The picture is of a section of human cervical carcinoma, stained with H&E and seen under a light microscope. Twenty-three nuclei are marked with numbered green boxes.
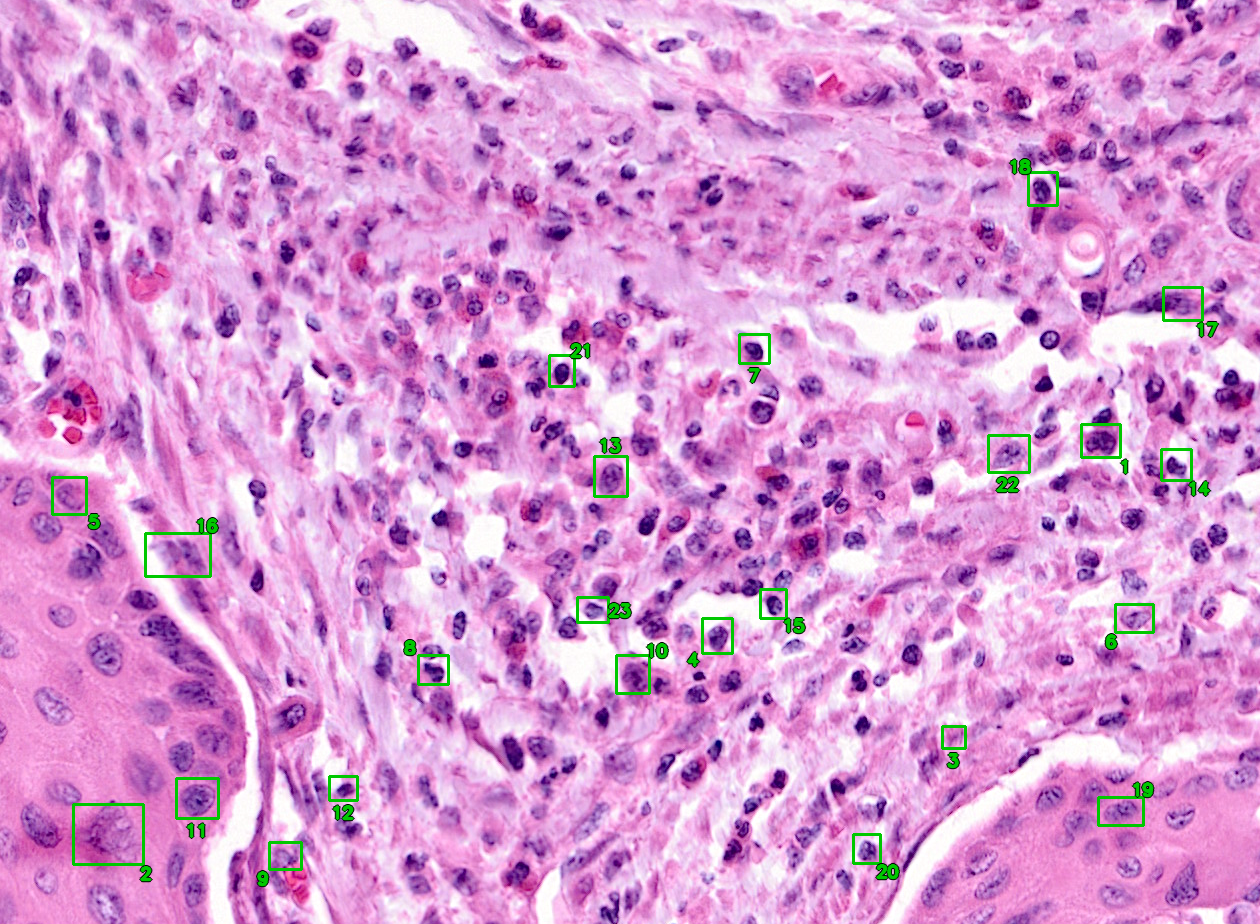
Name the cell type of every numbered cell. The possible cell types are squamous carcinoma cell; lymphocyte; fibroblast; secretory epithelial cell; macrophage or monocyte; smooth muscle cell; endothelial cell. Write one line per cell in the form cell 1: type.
cell 1: macrophage or monocyte
cell 2: squamous carcinoma cell
cell 3: fibroblast
cell 4: lymphocyte
cell 5: squamous carcinoma cell
cell 6: macrophage or monocyte
cell 7: lymphocyte
cell 8: lymphocyte
cell 9: endothelial cell
cell 10: macrophage or monocyte
cell 11: squamous carcinoma cell
cell 12: lymphocyte
cell 13: macrophage or monocyte
cell 14: lymphocyte
cell 15: lymphocyte
cell 16: fibroblast
cell 17: macrophage or monocyte
cell 18: lymphocyte
cell 19: squamous carcinoma cell
cell 20: lymphocyte
cell 21: lymphocyte
cell 22: macrophage or monocyte
cell 23: lymphocyte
